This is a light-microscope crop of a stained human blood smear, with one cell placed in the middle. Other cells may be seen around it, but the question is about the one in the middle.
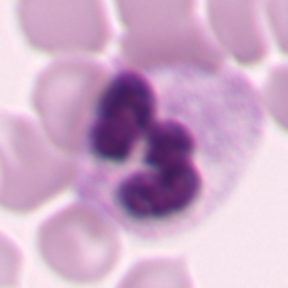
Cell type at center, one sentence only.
In this crop, the cell at the very middle is a segmented neutrophil.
